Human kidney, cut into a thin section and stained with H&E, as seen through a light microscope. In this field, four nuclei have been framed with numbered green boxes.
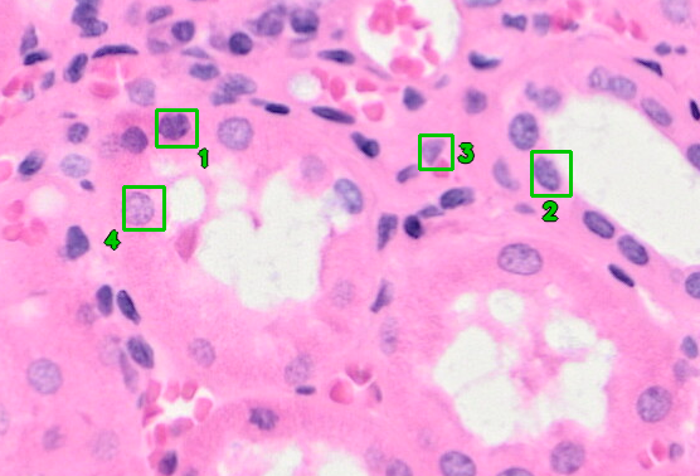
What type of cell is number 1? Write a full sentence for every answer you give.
Among the marked nuclei, number 1 belongs to a proximal tubule cell.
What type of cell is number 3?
The marked cell with the number 3 is recognised as an endothelial cell.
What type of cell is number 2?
The nucleus labeled 2 belongs to a collecting duct cell.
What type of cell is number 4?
Here the cell numbered 4 is a proximal tubule cell.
